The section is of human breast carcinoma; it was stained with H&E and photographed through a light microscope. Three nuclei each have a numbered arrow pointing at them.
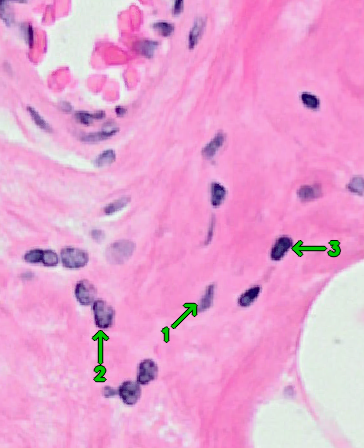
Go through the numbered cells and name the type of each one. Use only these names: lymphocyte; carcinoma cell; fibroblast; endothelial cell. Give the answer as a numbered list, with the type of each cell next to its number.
1. fibroblast
2. lymphocyte
3. lymphocyte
